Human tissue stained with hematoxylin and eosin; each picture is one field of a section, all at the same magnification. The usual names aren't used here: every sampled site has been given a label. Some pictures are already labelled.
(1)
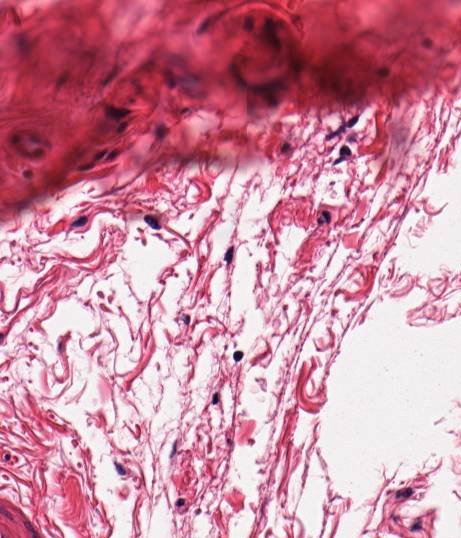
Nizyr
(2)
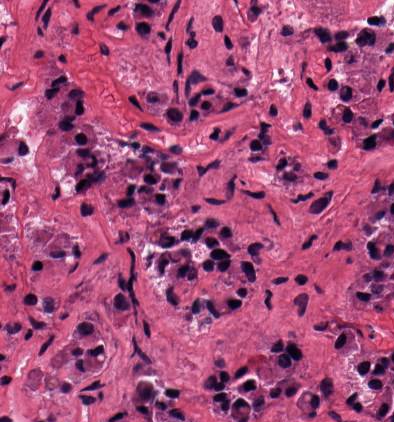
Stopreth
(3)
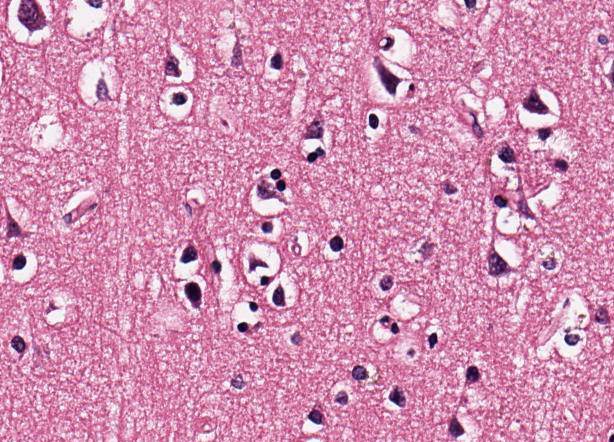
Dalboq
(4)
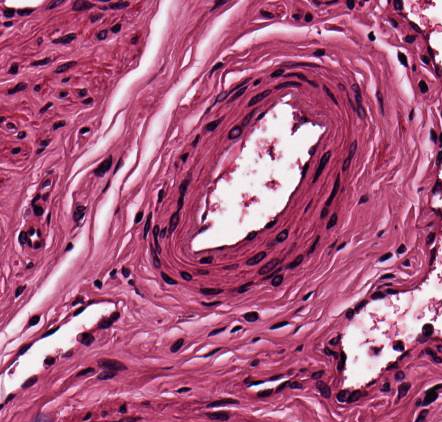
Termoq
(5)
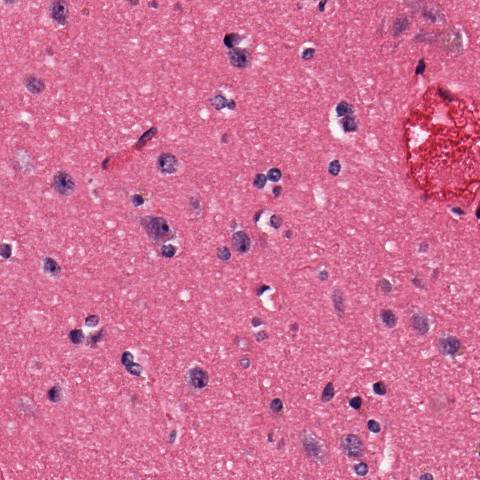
Dalboq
